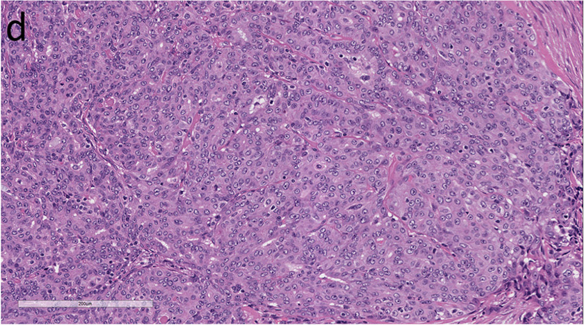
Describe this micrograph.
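This is a solid sheet of homogeneous tumor cells with abundant pink cytoplasm. Thin fibrous bands run along the edge of the sheet.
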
